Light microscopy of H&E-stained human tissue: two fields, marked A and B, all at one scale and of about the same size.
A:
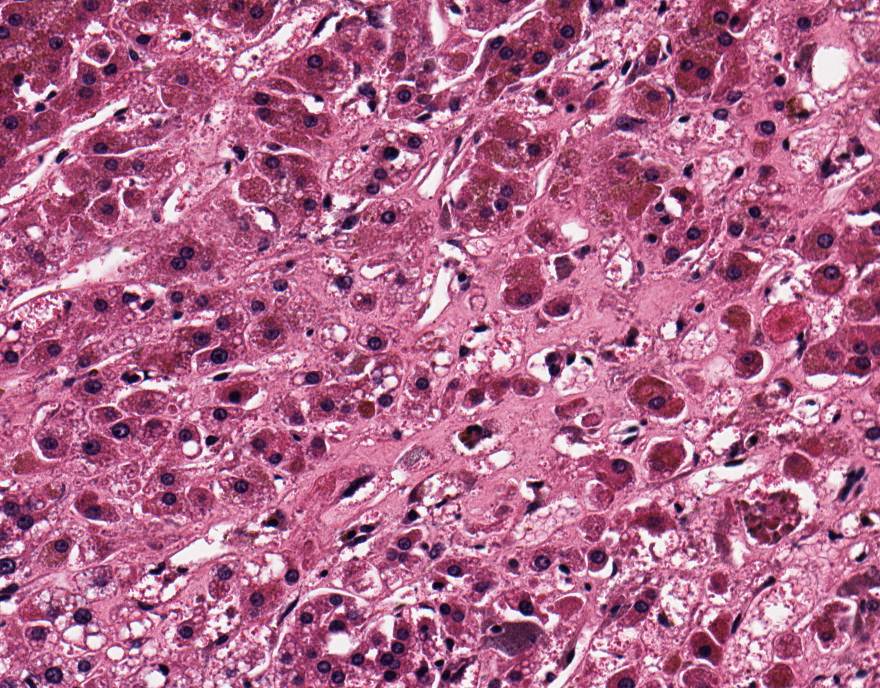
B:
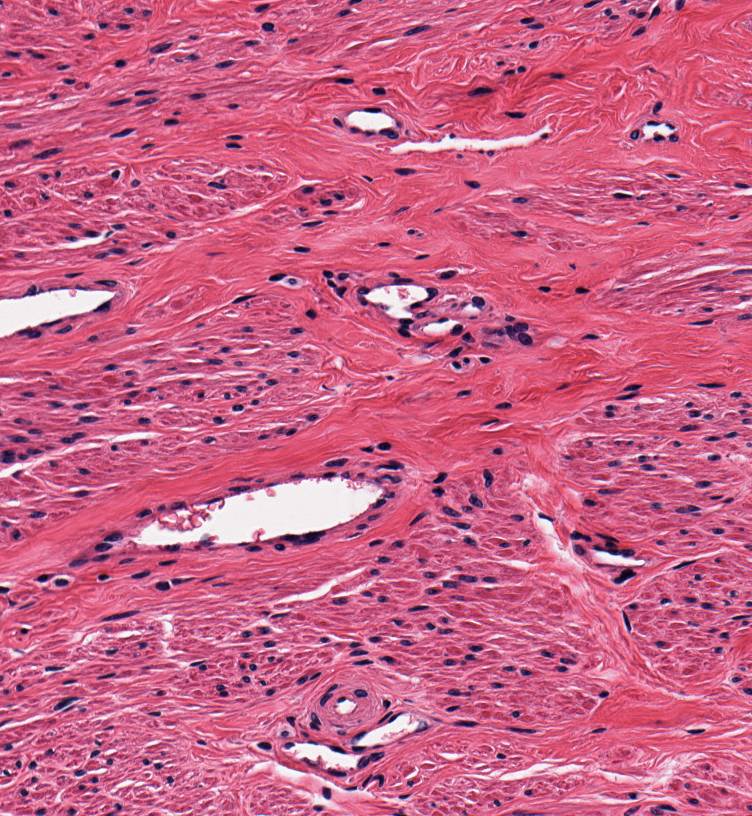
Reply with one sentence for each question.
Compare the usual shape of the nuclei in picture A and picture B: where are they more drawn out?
On the whole the nuclei of picture B are more drawn out than those of picture A.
